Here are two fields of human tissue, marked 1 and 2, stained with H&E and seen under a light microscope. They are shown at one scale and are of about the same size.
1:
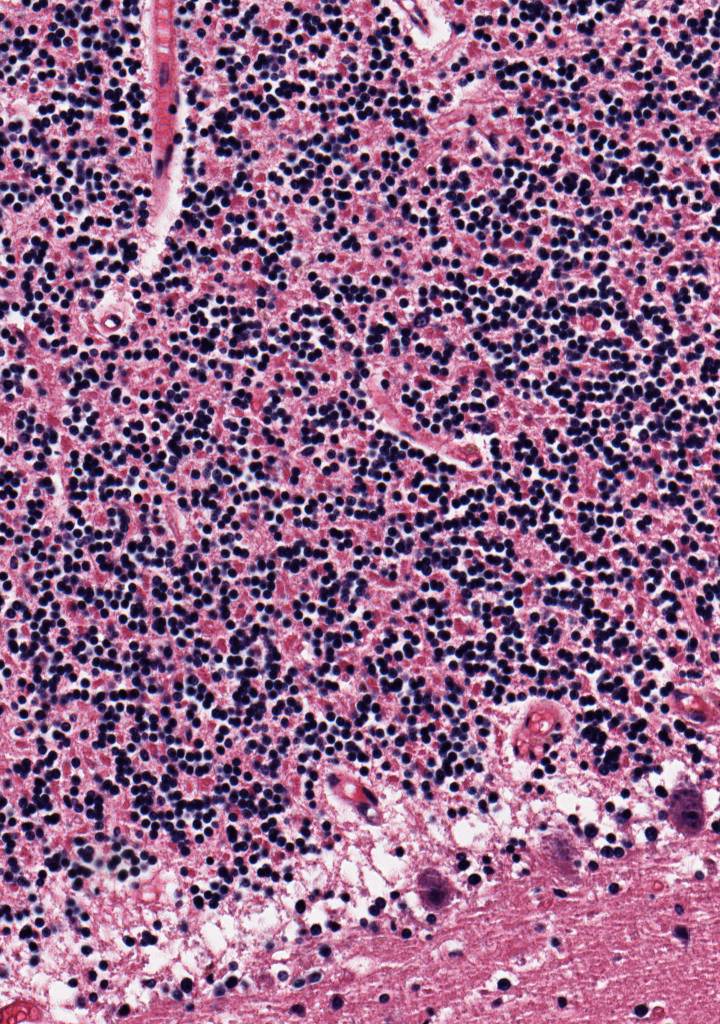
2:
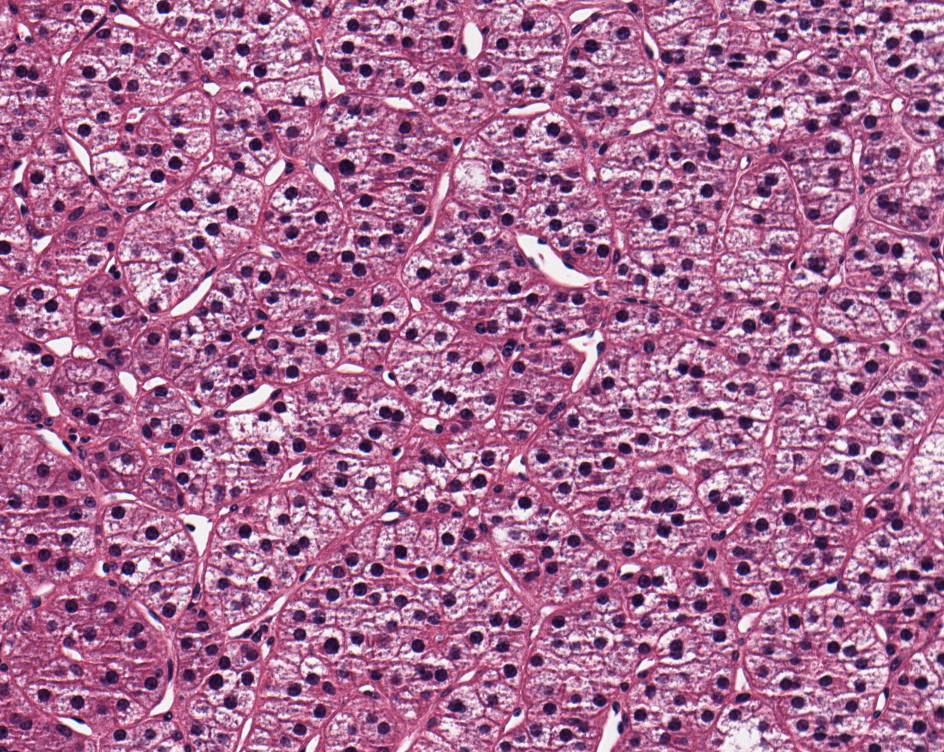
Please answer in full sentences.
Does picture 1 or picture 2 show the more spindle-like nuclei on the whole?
It is picture 1 whose nuclei are the more elongated.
